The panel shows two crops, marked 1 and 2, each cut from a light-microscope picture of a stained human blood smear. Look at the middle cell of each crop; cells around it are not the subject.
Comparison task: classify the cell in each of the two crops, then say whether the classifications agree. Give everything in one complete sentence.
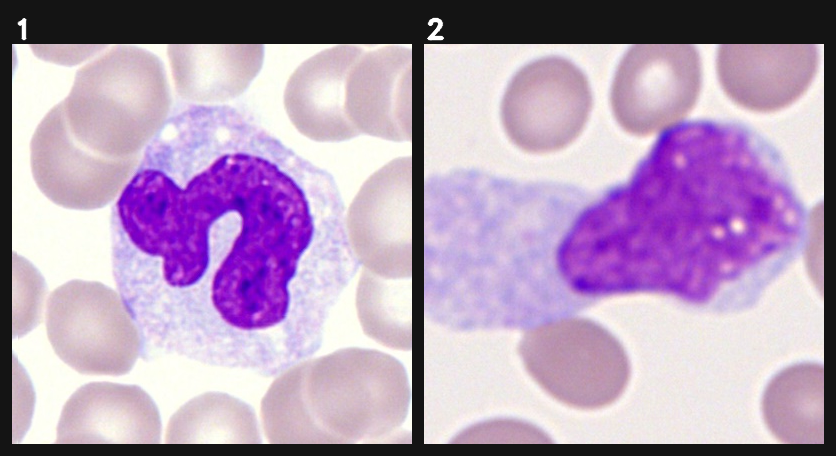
Yes, both crops in the pair show monocytes.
